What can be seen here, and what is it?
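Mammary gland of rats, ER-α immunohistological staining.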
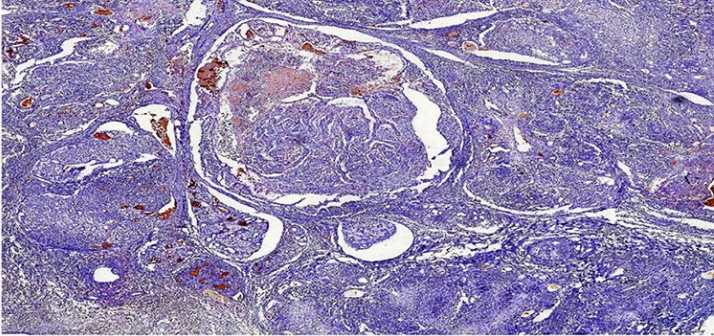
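Thin pale fibrous septa separate the lobules, and narrow clefts surround several of them. A large central lobule is partly detached from its surroundings by a curved cleft. Reddish-brown material fills some small spaces between the lobules.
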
